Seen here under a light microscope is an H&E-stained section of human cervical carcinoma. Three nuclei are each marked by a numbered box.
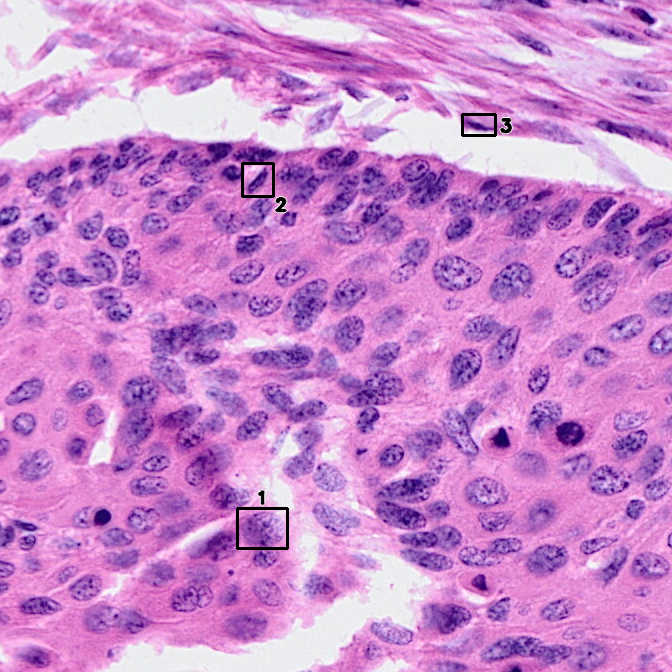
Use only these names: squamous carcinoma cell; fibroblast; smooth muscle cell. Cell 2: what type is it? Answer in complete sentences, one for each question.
The correct label for cell 2 is a squamous carcinoma cell.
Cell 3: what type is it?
The one labeled 3 is a fibroblast, to put it simply.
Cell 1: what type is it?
The numbered cell 1 is identified here as a squamous carcinoma cell.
